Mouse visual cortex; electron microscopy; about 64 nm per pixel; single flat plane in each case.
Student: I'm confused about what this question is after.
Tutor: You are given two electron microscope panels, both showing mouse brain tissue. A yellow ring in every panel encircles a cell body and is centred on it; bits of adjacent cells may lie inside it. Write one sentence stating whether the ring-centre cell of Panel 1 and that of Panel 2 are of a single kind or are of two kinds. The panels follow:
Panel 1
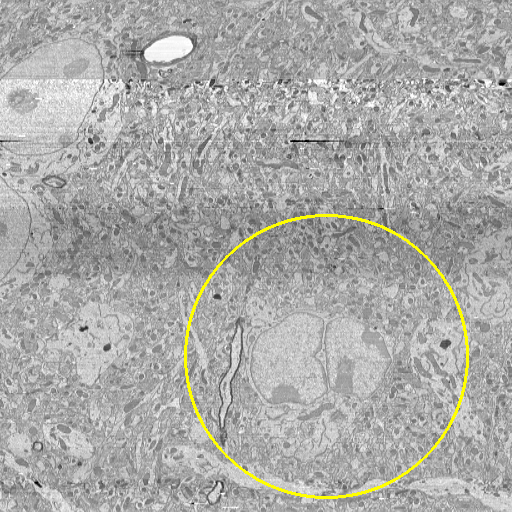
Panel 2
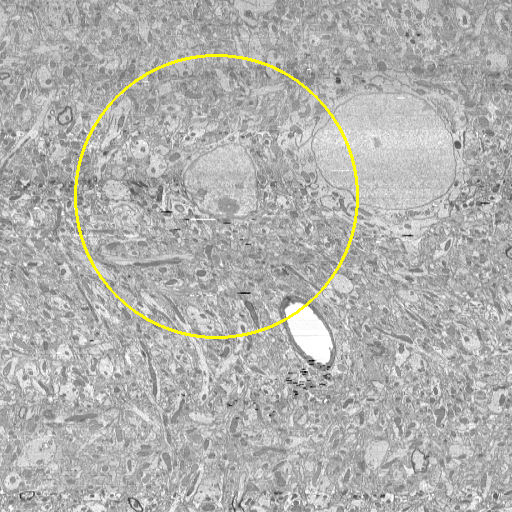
Here, the Panel 1 ring-centre cell and the Panel 2 ring-centre cell are of a single kind.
